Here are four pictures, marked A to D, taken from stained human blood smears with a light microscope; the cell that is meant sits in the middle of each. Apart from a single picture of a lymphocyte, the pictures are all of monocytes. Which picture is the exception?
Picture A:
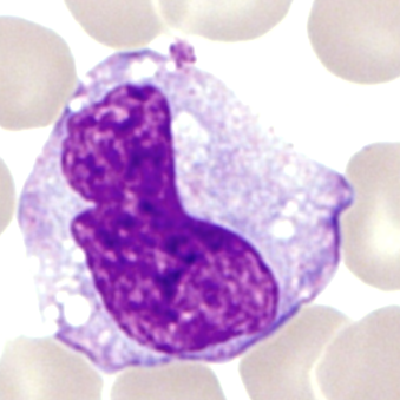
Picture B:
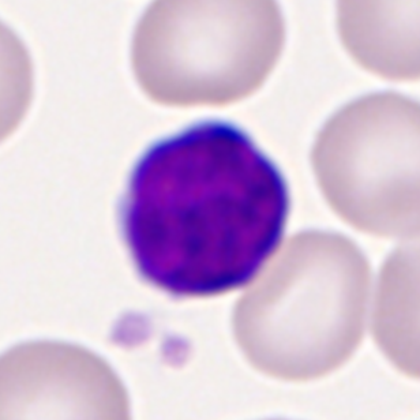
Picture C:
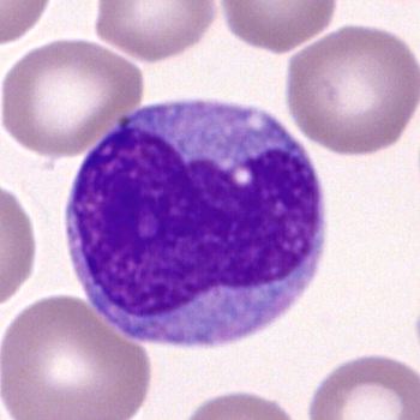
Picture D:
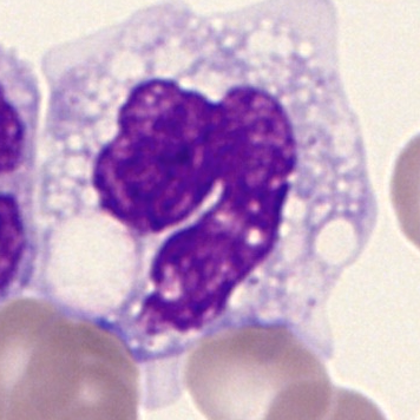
B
